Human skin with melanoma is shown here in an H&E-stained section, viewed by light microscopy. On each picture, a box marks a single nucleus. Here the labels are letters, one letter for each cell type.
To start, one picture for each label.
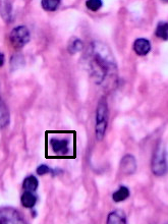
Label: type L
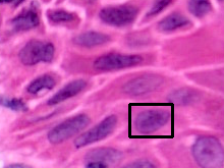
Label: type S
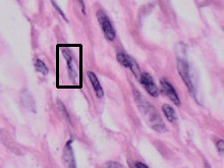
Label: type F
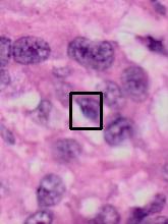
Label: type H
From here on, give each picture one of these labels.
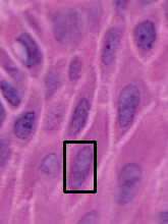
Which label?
type S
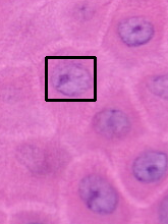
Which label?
type S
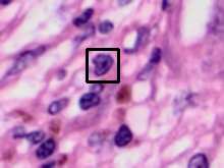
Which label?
type L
